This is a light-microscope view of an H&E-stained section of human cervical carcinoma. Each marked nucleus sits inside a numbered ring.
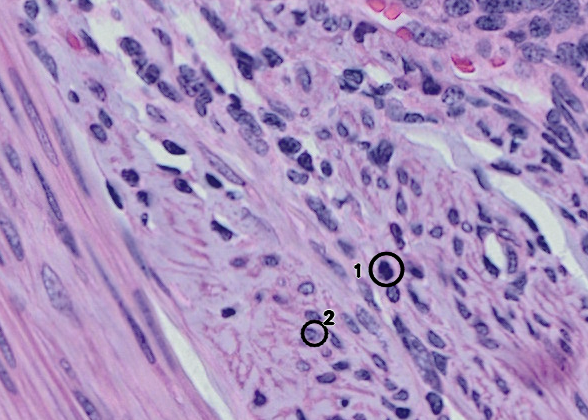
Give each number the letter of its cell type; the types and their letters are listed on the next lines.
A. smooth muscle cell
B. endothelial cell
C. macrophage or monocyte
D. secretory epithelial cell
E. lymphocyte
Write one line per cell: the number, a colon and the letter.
1: E
2: A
